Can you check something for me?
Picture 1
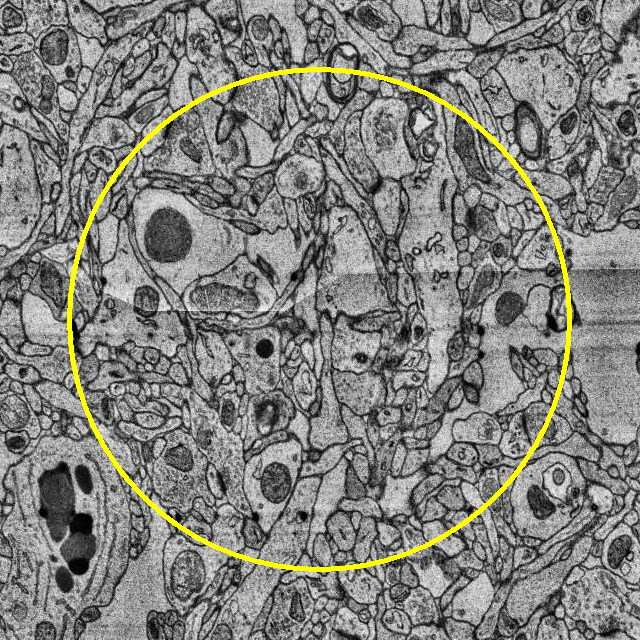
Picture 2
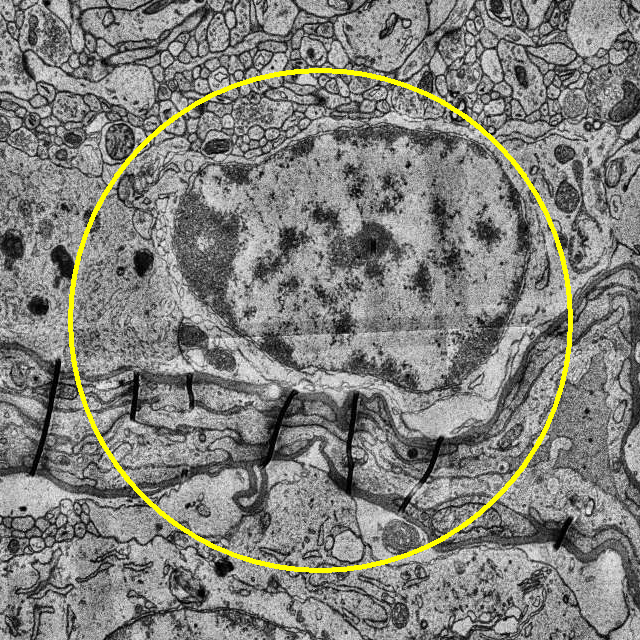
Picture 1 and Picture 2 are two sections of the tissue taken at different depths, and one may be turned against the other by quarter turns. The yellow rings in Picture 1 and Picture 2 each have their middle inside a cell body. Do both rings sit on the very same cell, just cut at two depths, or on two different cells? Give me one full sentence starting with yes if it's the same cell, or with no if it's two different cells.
No, the two rings mark two different cells.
